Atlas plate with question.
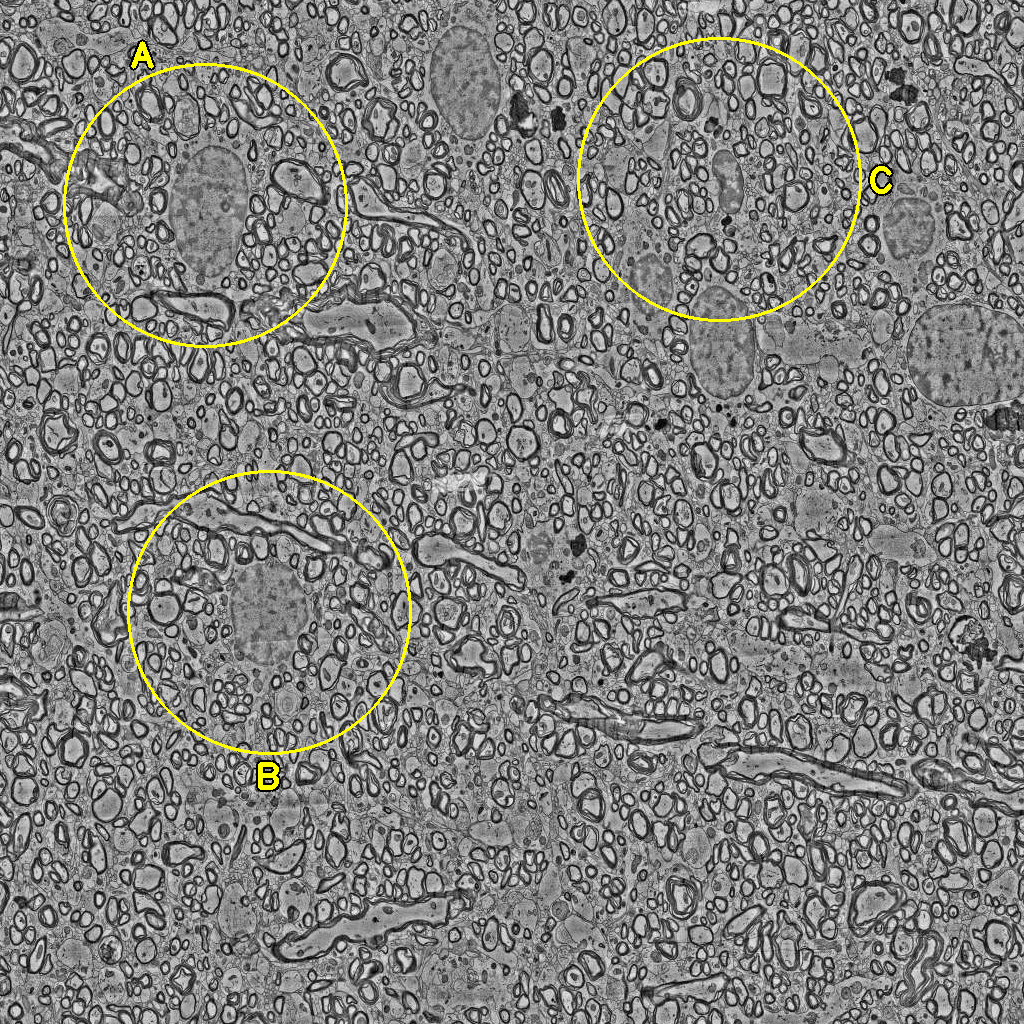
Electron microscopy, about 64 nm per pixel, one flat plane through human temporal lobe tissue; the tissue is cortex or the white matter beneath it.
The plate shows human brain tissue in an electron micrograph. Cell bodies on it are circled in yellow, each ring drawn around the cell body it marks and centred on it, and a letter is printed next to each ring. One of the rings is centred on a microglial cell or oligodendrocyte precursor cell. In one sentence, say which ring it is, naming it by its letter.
It is ring C.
